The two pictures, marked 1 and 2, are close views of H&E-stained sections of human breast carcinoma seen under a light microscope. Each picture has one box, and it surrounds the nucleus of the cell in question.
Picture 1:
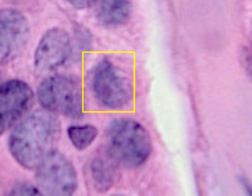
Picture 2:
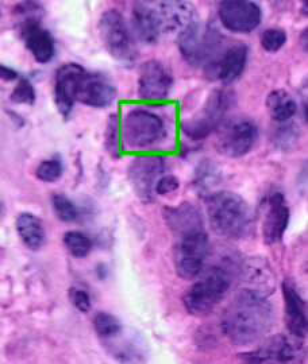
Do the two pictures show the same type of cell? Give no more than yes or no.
yes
